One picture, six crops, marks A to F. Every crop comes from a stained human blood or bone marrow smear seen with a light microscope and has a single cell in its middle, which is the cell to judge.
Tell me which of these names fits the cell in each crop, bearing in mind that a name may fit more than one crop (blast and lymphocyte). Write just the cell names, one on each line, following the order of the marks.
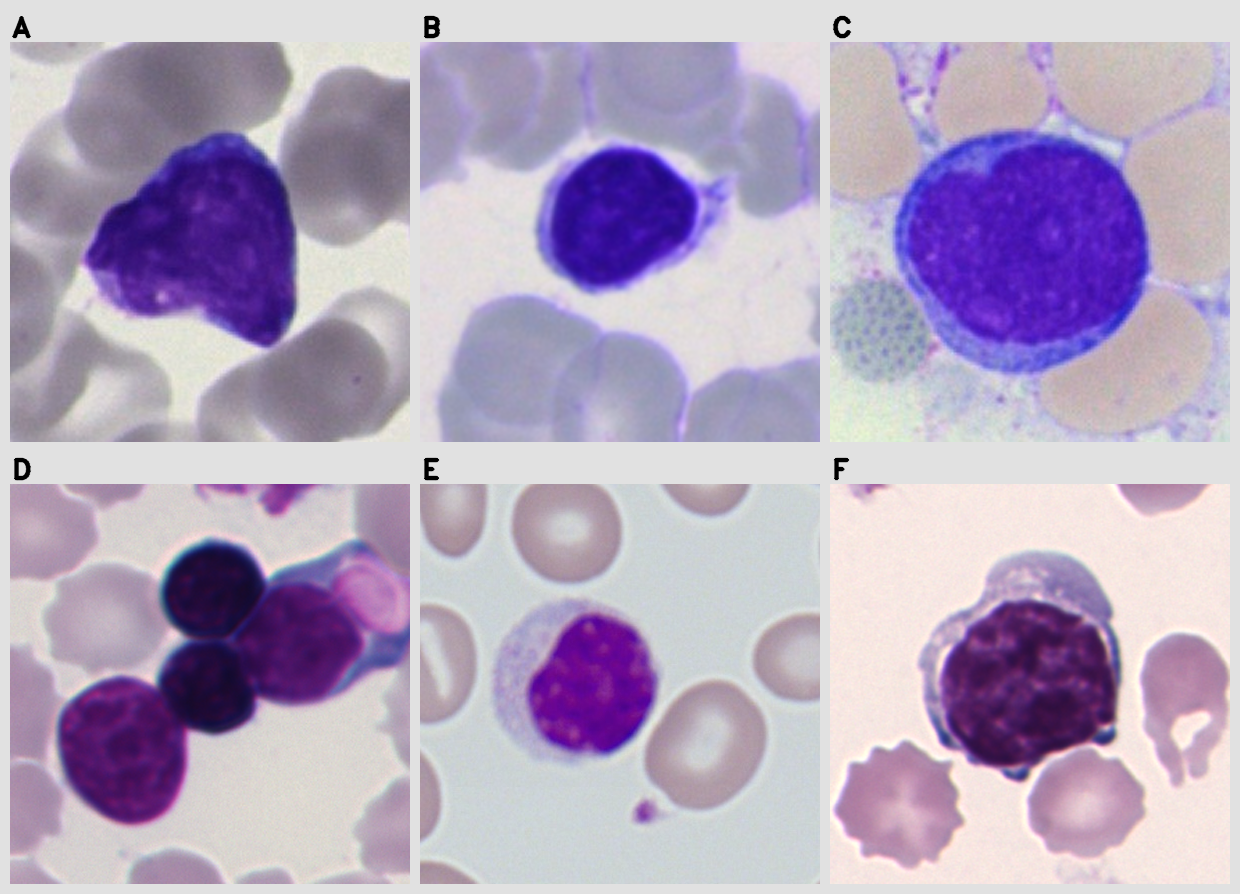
blast
lymphocyte
blast
blast
lymphocyte
lymphocyte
